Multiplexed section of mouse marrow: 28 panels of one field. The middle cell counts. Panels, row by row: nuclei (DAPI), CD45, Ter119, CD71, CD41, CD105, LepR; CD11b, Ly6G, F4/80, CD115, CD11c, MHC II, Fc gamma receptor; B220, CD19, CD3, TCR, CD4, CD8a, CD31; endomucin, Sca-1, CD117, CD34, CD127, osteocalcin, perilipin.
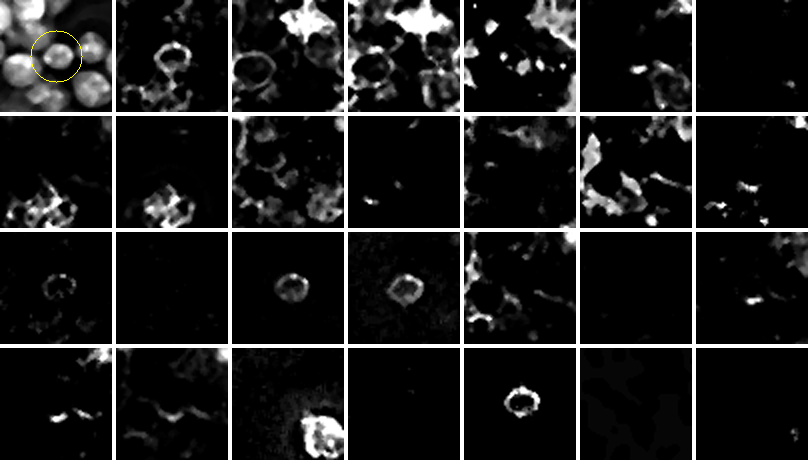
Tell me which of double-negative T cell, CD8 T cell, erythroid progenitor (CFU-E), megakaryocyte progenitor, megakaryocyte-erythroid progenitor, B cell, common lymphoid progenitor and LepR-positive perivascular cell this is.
The picture shows a common lymphoid progenitor.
